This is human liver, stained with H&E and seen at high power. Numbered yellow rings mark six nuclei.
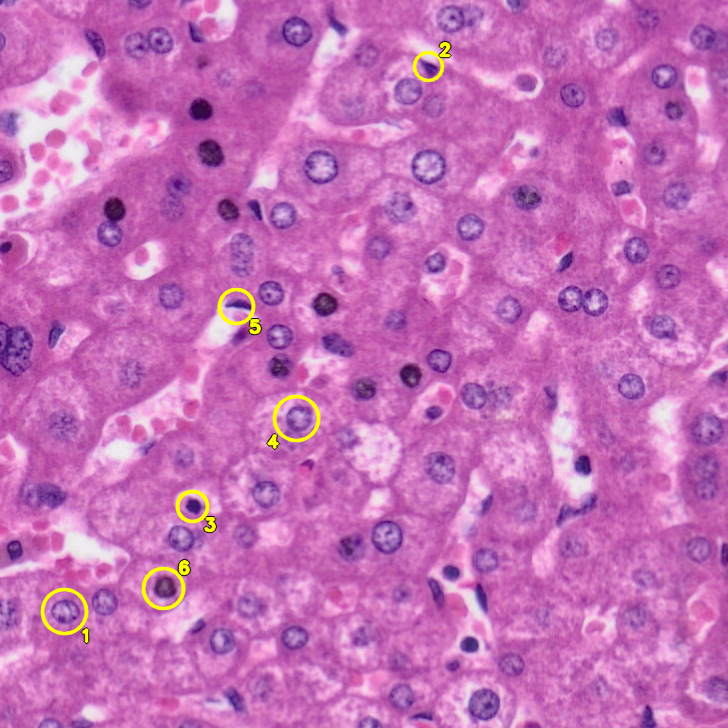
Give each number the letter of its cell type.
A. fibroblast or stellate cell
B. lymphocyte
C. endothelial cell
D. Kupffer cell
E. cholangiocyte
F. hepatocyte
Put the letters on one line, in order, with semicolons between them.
F; A; B; F; C; F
